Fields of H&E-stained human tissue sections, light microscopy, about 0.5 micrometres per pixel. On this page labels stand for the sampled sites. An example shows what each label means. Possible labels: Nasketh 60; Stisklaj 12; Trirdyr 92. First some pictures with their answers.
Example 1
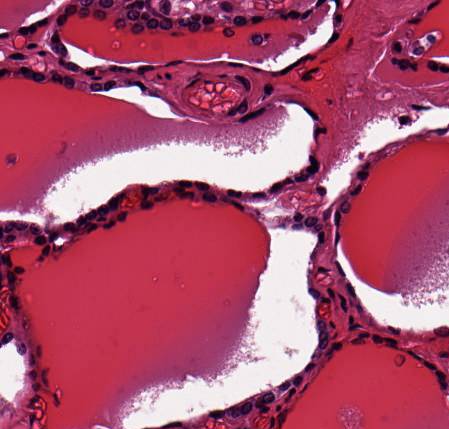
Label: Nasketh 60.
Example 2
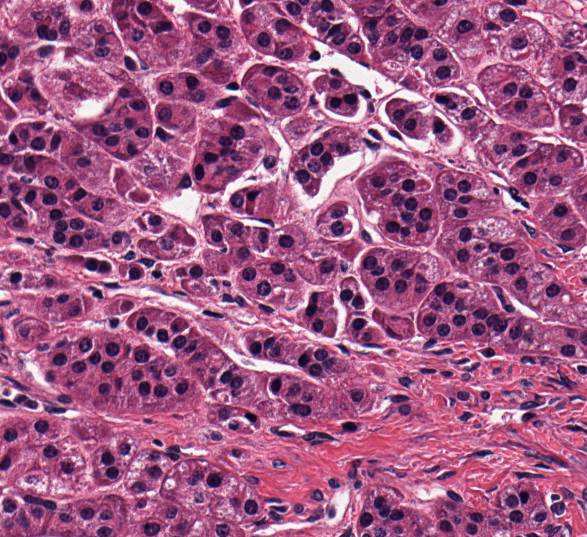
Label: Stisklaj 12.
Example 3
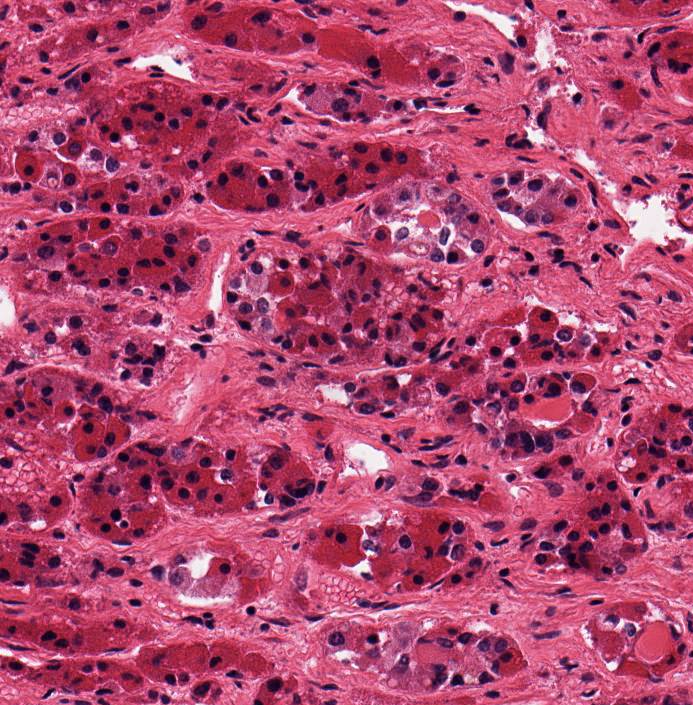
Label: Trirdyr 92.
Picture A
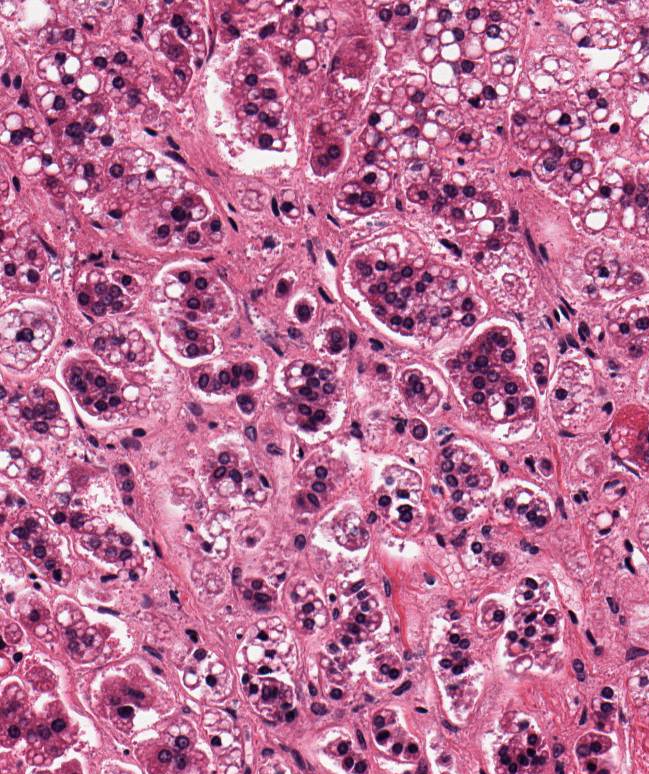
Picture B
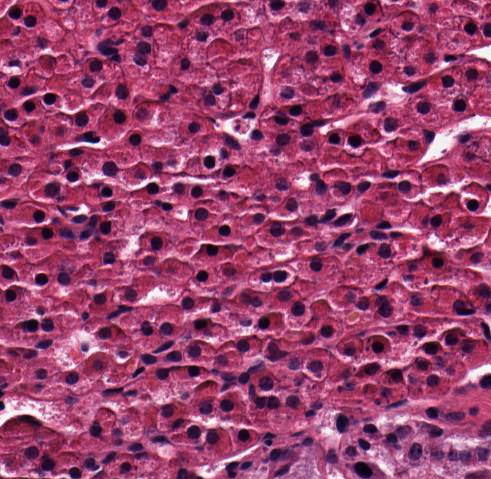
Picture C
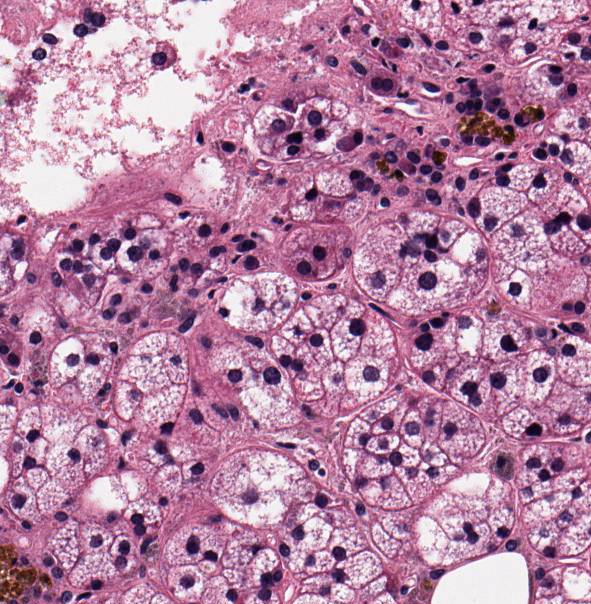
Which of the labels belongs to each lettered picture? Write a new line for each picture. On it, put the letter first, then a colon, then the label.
A: Stisklaj 12.
B: Stisklaj 12.
C: Stisklaj 12.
